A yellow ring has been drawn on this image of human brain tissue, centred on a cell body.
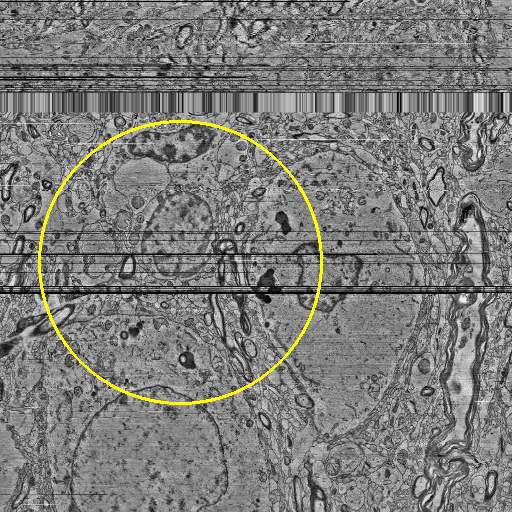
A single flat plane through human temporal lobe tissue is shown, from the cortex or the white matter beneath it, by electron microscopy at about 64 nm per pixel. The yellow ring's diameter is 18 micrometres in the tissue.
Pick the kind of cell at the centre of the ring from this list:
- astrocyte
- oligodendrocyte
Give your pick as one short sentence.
The centre of the ring holds an oligodendrocyte.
